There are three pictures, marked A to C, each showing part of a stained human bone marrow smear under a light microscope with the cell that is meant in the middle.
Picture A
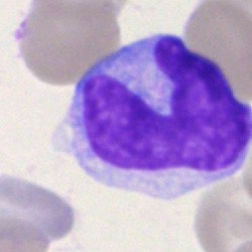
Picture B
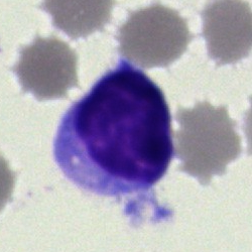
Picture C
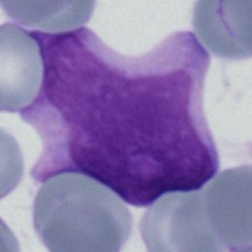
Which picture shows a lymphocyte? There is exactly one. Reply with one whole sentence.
Picture B is the one that shows the lymphocyte.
